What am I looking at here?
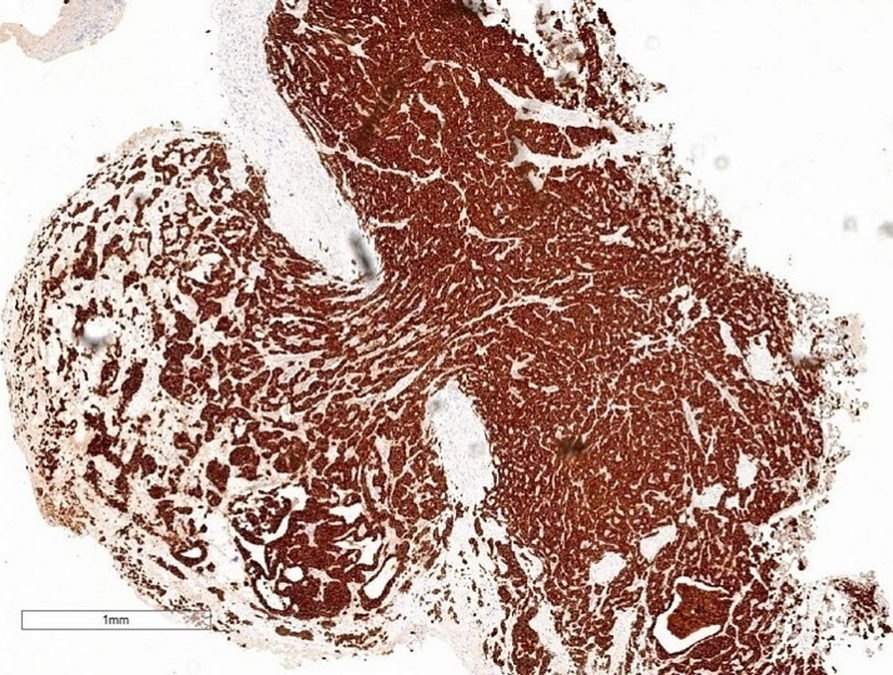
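This low-power view shows a tumor made up of cells arranged in closely packed nests, cords and trabeculae. The tumor cell nests are strongly and diffusely stained brown, whereas the thin intervening fibrovascular septa and the surrounding stroma remain pale. In the right part of the tissue the nests are tightly crowded and separated only by narrow slit-like spaces. At the left the nests are smaller, irregular and scattered within looser pale stroma. A pale band of unstained connective tissue runs between the two lobes of the fragment.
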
